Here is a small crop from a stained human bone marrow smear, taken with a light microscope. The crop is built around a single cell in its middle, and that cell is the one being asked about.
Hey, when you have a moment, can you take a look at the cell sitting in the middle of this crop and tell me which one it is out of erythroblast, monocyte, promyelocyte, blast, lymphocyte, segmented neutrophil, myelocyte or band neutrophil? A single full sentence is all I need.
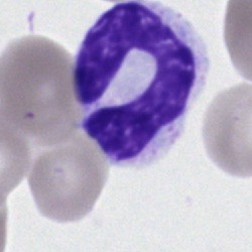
At the middle of the frame sits a band neutrophil.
